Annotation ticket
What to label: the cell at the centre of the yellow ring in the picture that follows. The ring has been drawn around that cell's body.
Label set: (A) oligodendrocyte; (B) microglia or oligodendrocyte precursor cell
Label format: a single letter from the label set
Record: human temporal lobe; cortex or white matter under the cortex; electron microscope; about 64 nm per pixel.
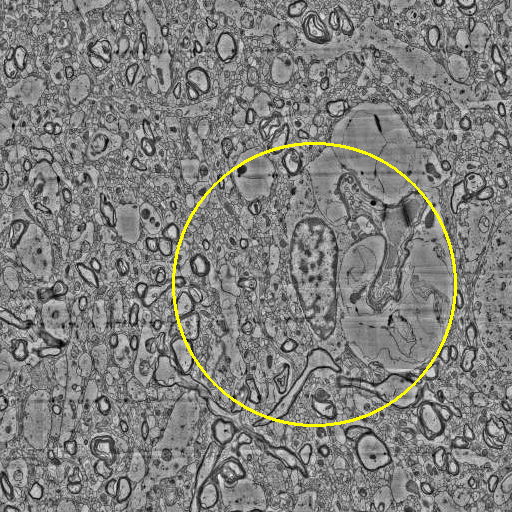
B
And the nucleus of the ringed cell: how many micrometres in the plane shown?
In this plane the nucleus is about 7 micrometres by 3.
